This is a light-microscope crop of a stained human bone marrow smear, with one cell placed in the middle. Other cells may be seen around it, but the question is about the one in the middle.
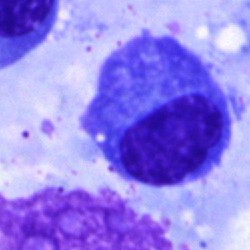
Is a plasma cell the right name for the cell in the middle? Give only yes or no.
yes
